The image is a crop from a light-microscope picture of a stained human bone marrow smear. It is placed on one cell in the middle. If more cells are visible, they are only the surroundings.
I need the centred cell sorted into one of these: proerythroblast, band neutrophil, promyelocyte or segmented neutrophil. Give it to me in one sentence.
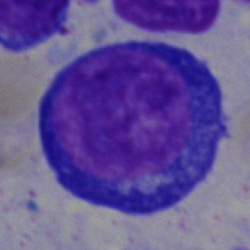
The identification for the central cell is a proerythroblast.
